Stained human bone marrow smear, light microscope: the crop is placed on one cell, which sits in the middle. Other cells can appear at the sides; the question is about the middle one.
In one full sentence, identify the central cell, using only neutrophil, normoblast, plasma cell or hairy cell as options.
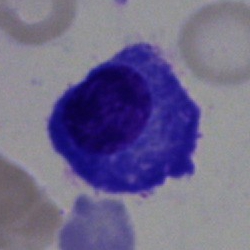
The cell in the exact centre of the crop is a plasma cell.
